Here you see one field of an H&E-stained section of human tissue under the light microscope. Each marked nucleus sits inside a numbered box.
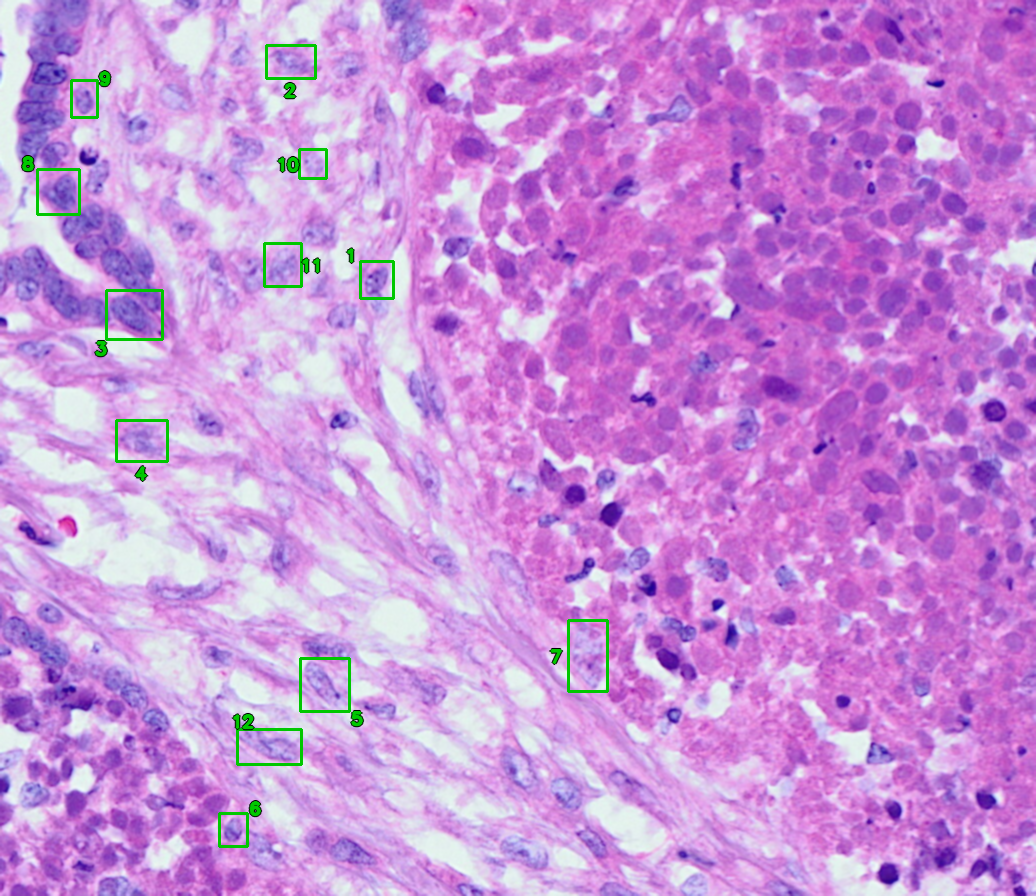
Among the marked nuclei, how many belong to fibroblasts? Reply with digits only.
7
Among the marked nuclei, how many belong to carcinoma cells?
2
